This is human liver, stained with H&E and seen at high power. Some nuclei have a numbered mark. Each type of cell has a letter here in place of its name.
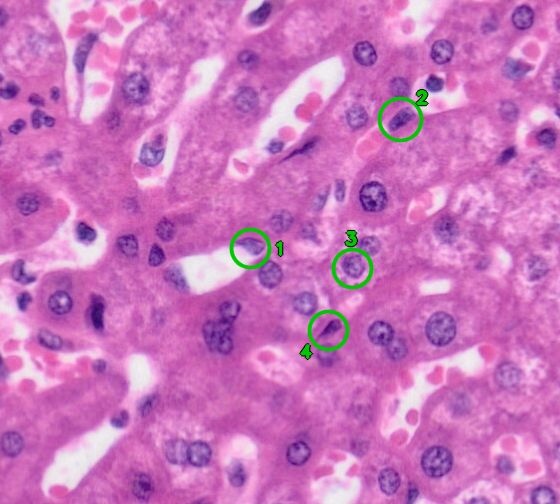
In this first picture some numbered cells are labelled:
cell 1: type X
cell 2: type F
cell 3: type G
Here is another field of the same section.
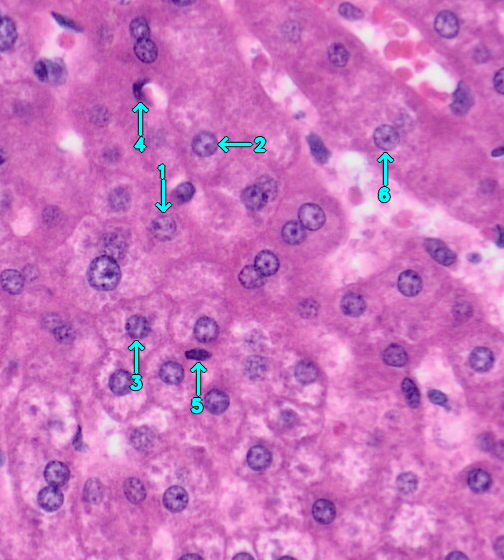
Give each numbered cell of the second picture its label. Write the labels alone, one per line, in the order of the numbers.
type G
type G
type G
type F
type F
type G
